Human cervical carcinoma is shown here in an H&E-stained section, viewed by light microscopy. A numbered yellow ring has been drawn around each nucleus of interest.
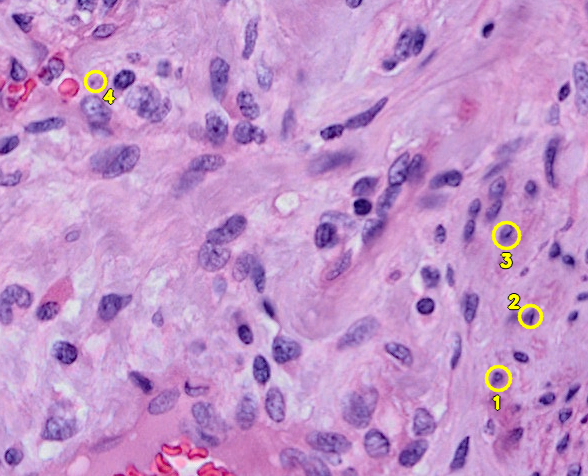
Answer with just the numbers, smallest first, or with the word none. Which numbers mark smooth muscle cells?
1, 2, 3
